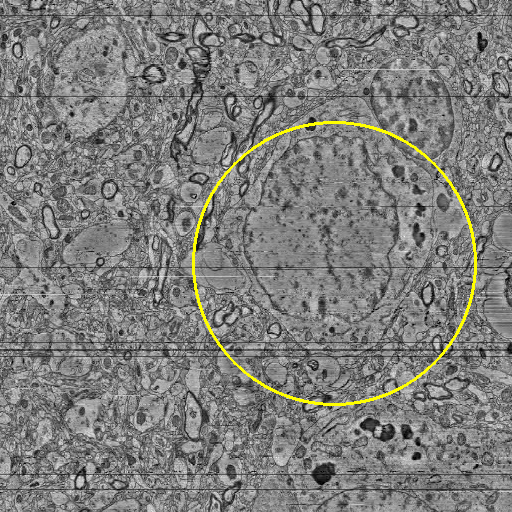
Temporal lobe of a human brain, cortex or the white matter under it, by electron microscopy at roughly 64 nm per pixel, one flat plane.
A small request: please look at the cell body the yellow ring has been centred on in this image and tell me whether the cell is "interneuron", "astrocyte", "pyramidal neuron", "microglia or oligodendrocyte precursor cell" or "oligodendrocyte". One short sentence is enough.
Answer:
The cell marked by the ring is an interneuron.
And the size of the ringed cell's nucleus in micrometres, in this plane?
Roughly 13 micrometres by 10 micrometres, in this plane.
